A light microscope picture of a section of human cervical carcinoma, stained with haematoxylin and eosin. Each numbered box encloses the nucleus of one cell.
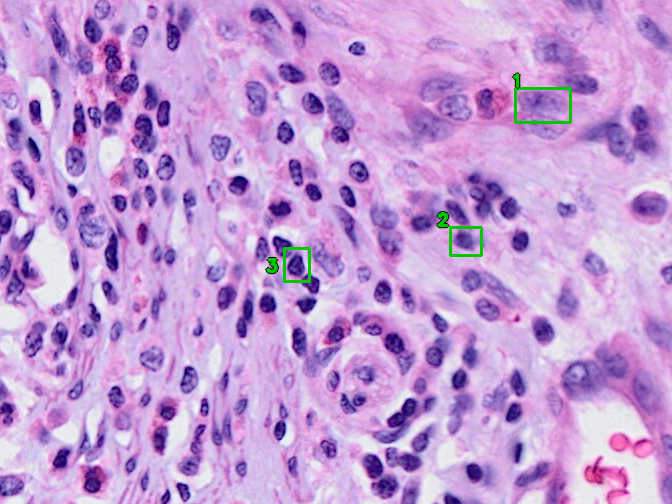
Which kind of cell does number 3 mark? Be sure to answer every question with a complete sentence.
The cell pointed out as number 3 is a lymphocyte.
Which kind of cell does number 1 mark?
Recognised here as an endothelial cell is the cell numbered 1.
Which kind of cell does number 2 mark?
Cell 2 of the marked set is a lymphocyte.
